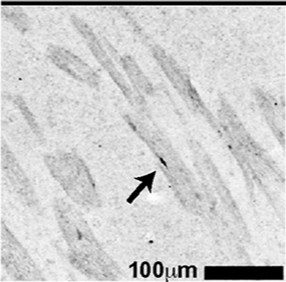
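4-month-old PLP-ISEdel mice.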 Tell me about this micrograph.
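In the striatum, grey elongated bundles run diagonally in parallel across a paler background. Along one bundle the arrow marks a small, dark, spindle-shaped body, and a few other dark dots lie scattered. The bundles are white matter tracks and the dark swelling within one of them is a spheroid.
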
